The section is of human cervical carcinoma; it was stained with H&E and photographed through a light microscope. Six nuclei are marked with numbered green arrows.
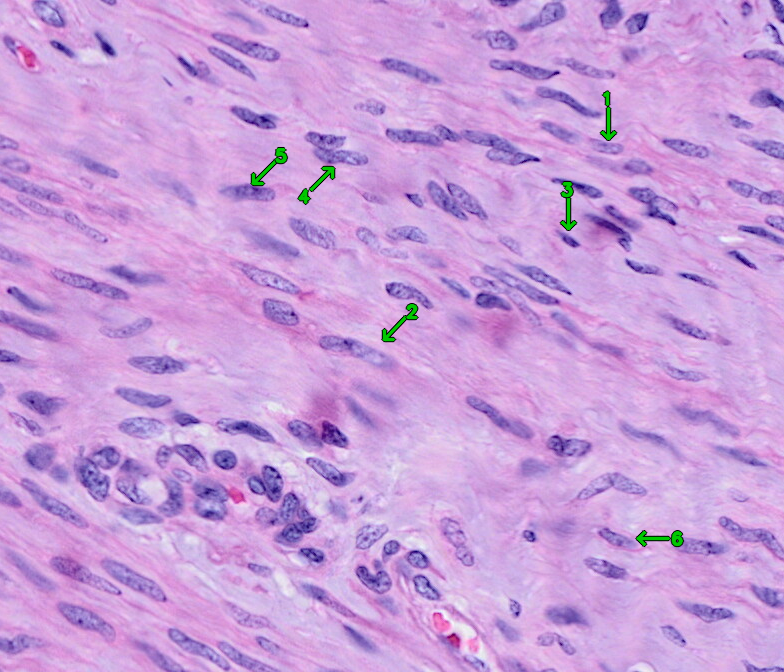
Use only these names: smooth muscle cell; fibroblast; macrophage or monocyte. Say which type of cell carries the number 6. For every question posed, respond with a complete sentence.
The cell that carries the label 6 is a smooth muscle cell.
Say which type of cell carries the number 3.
Numbered cell 3 is a fibroblast in this tissue section.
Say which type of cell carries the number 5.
Regarding cell 5, this one is a fibroblast.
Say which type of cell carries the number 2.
The cell marked with number 2 is a smooth muscle cell.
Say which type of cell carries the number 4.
The cell marked with number 4 is a fibroblast.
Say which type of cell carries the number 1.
In this section, the cell tagged 1 is a smooth muscle cell.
